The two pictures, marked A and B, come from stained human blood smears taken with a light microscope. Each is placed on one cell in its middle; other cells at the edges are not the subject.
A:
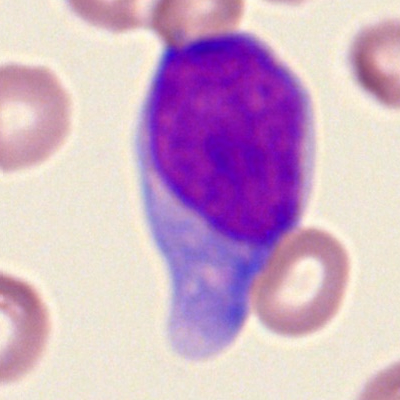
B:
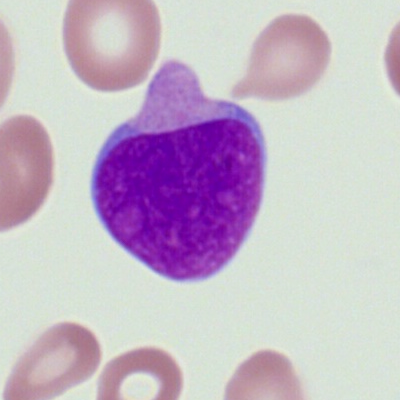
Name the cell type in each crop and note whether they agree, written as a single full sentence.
Yes, the cells in the centres of the two crops are myeloblasts.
